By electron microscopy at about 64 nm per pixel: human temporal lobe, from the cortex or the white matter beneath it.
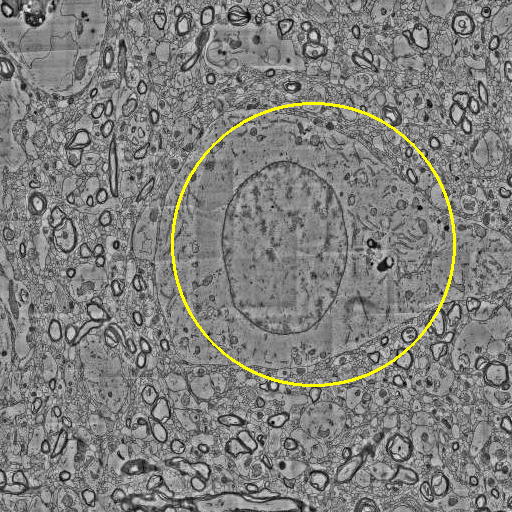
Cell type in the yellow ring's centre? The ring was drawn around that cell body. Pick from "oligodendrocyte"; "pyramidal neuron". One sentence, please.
The ringed cell body is that of a pyramidal neuron.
